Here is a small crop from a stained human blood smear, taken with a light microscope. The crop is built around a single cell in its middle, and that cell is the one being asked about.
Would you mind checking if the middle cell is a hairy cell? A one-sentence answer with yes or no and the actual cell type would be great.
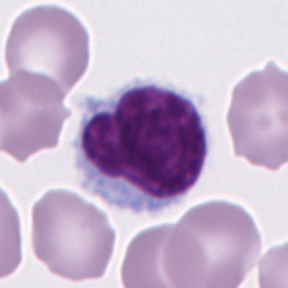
Yes, the cell in the exact middle is a hairy cell.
